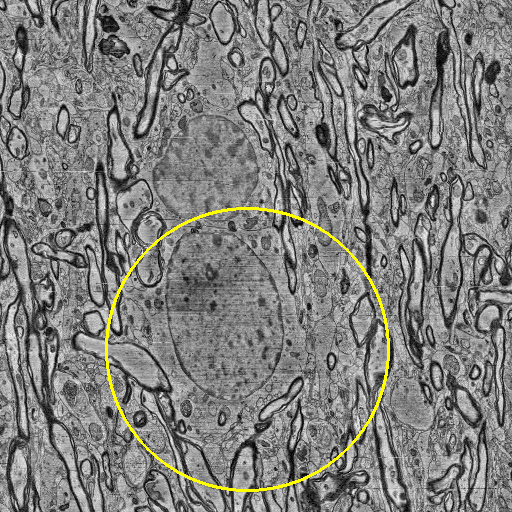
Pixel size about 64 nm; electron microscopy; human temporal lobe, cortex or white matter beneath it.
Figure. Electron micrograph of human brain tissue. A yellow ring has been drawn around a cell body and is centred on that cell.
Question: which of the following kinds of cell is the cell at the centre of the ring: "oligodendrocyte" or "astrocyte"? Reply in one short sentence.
The cell at the centre of the ring is an astrocyte.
